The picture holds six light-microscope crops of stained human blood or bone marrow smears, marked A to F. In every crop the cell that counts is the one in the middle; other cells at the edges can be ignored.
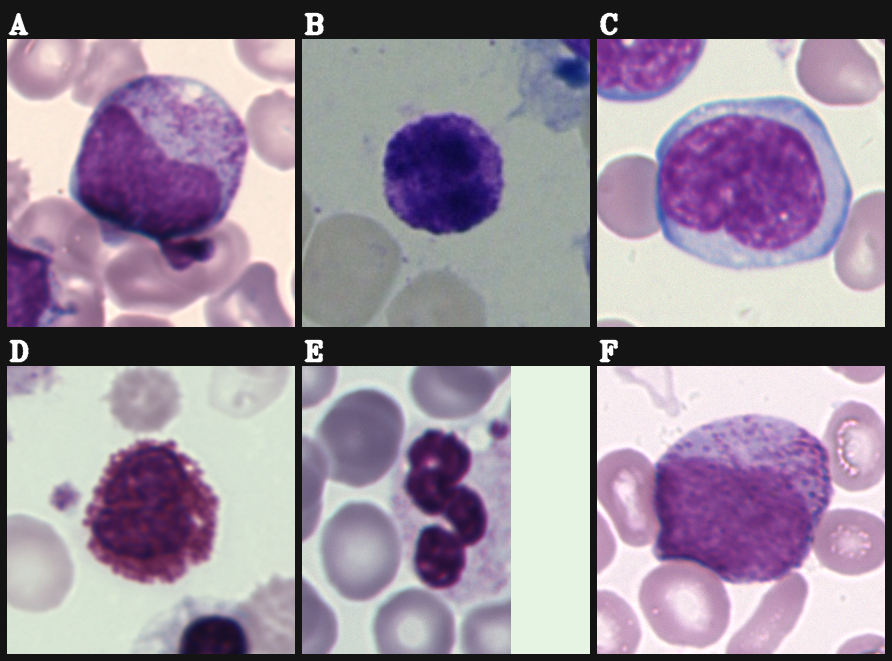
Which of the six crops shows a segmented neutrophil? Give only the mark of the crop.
E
